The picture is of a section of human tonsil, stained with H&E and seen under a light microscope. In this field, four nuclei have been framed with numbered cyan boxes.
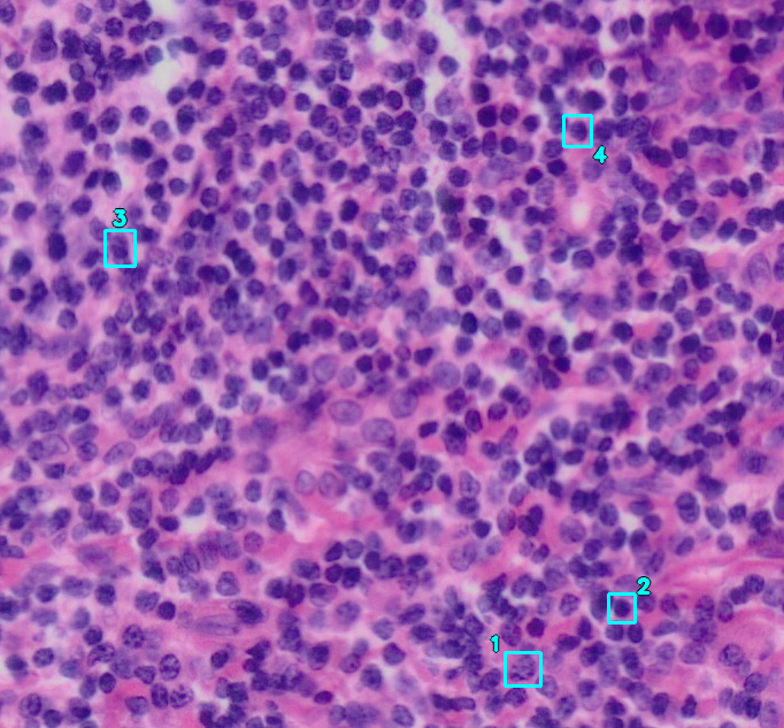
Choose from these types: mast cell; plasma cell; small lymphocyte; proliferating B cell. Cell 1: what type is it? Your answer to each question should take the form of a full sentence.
The one labeled 1 is a plasma cell, to put it simply.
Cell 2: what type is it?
The cell given label 2 is a small lymphocyte.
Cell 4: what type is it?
Denoted by the label 4 in the section is a small lymphocyte.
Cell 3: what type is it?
Number 3 among the marked cells is a small lymphocyte.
